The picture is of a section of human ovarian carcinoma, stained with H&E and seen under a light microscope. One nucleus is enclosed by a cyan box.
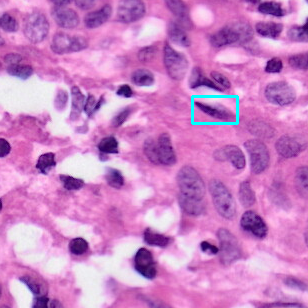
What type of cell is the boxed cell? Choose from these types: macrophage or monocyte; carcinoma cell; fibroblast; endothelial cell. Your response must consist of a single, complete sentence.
In terms of identity, the boxed cell is an endothelial cell.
